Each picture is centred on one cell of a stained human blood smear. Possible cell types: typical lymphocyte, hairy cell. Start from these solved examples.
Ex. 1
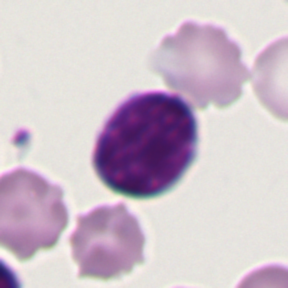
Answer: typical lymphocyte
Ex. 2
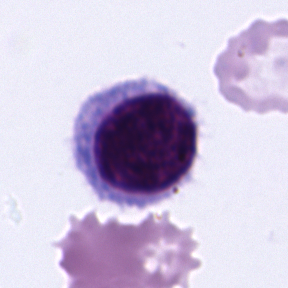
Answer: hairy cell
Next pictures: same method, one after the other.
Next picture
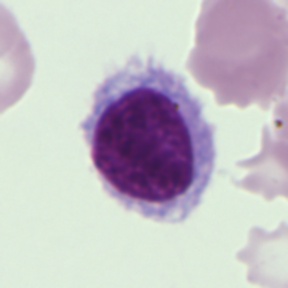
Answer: hairy cell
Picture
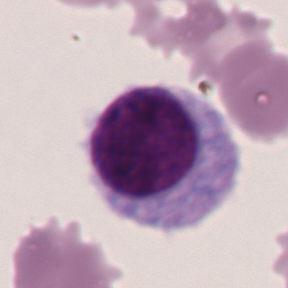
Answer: hairy cell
